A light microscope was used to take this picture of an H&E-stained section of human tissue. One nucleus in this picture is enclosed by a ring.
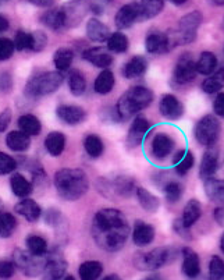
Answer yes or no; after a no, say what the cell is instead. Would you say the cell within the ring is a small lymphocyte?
Yes.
